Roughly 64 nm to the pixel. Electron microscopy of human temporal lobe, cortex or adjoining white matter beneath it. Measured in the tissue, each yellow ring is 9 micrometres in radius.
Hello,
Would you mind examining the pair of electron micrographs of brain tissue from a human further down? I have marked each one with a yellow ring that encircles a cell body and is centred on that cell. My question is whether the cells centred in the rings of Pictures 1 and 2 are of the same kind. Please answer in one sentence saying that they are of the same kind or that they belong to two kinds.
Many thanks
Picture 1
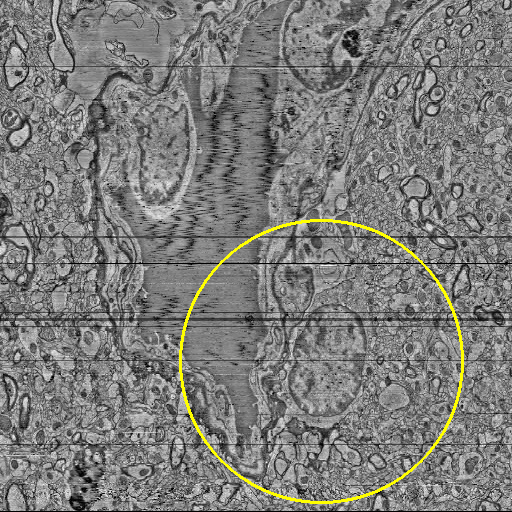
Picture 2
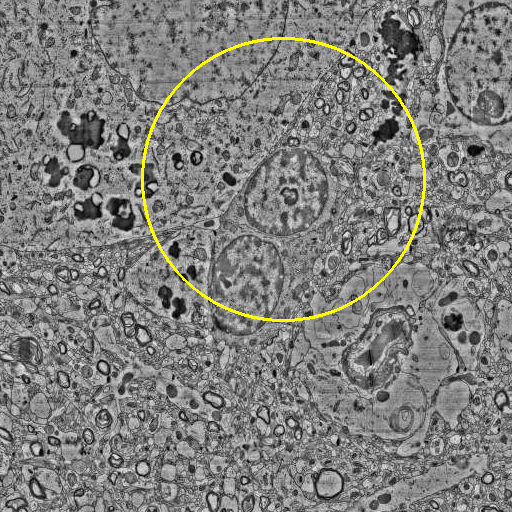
In Pictures 1 and 2, the cells at the heart of the rings are of the same kind.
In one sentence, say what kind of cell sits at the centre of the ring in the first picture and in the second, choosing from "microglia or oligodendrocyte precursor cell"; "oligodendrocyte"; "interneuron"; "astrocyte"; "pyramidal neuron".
Each of the ringed cells, first and second, is an oligodendrocyte.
